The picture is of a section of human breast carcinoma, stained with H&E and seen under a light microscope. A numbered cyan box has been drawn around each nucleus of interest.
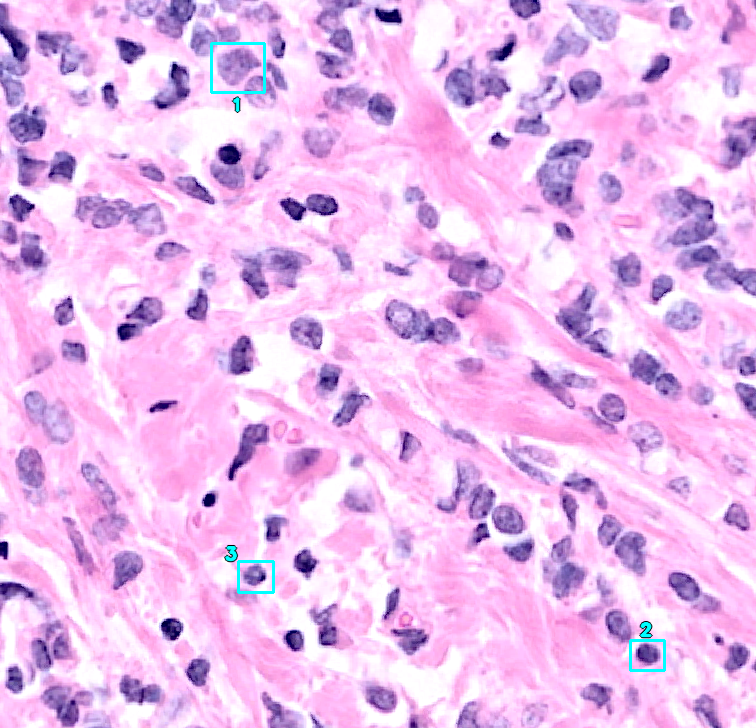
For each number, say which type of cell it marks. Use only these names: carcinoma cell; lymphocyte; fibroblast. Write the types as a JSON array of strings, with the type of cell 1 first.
["carcinoma cell", "lymphocyte", "lymphocyte"]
